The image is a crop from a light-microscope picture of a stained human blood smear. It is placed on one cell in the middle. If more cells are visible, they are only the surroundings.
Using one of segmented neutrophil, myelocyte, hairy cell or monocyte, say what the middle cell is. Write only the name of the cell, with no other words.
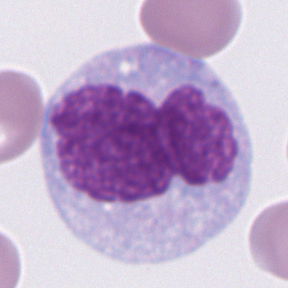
monocyte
